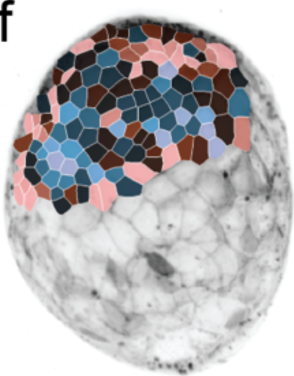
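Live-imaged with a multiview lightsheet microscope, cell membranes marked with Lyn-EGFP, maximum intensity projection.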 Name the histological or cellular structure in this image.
Germ disc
